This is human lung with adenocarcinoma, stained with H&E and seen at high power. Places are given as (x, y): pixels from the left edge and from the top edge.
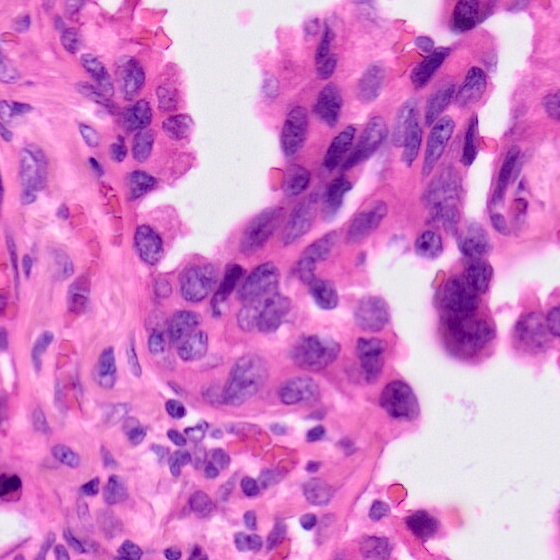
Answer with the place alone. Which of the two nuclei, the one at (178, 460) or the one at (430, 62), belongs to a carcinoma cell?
(430, 62)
